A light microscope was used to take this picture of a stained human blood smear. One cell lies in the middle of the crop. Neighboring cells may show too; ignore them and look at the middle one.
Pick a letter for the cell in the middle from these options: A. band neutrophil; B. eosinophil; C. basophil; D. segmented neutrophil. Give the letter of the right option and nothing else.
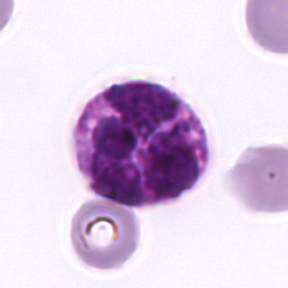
C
